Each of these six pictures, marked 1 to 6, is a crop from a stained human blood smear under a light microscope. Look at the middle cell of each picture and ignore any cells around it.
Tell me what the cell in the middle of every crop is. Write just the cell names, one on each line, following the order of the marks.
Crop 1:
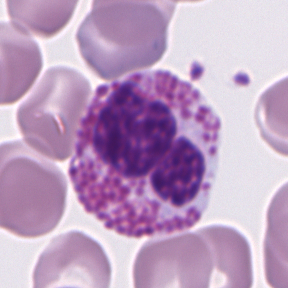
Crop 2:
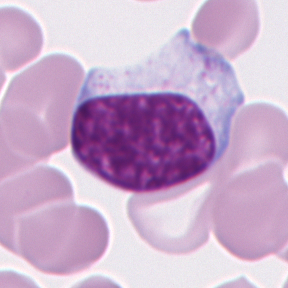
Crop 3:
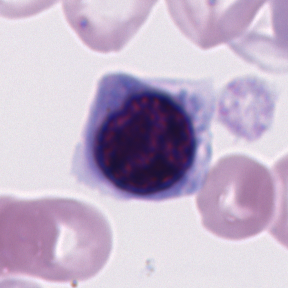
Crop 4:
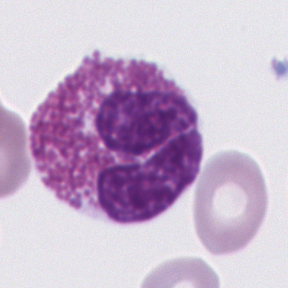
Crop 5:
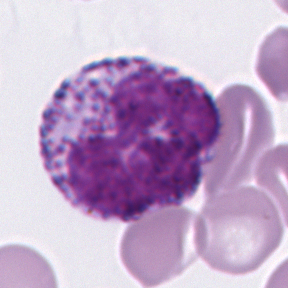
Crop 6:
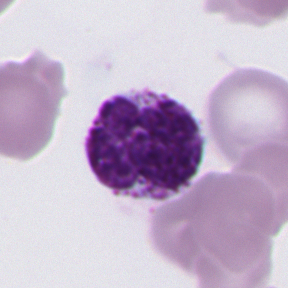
eosinophil
large granular lymphocyte
normoblast
eosinophil
basophil
basophil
